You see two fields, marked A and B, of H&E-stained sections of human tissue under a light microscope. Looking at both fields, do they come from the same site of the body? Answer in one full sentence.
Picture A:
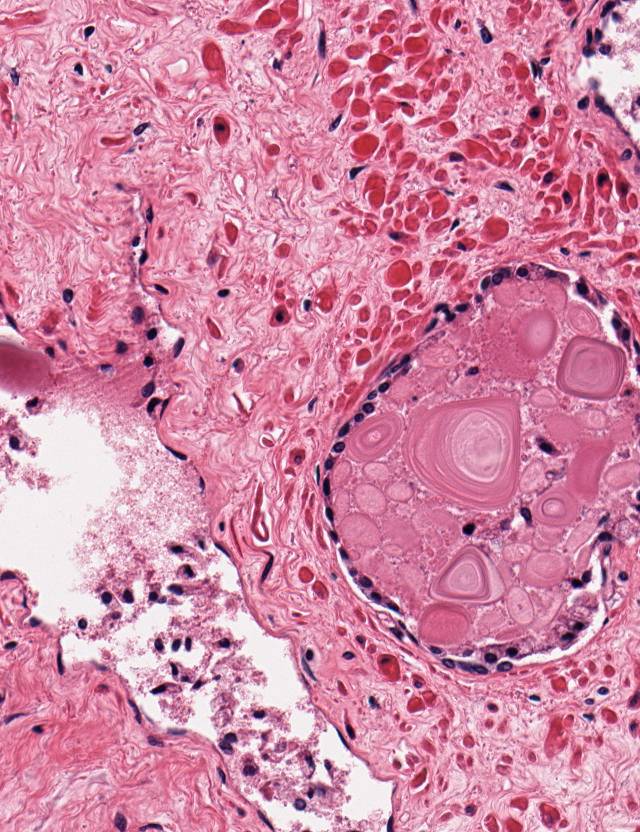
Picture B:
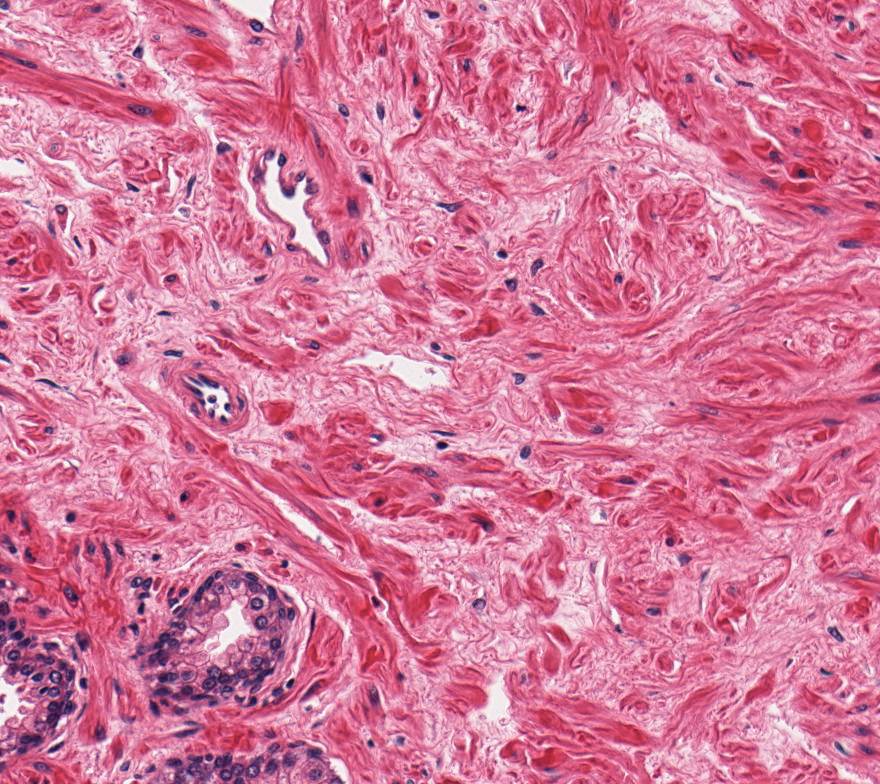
Yes, they come from the same site of the body: both come from the prostate.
